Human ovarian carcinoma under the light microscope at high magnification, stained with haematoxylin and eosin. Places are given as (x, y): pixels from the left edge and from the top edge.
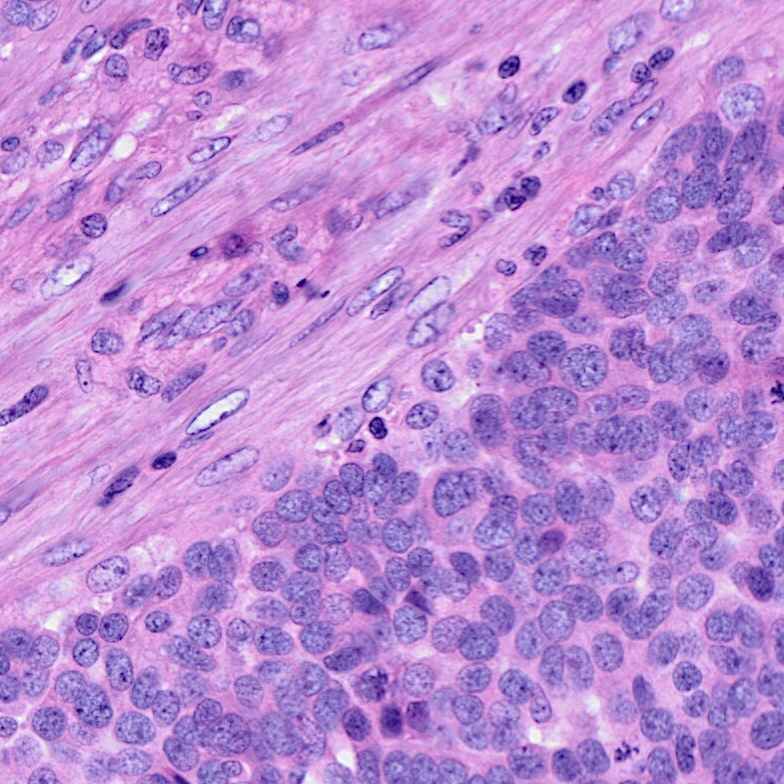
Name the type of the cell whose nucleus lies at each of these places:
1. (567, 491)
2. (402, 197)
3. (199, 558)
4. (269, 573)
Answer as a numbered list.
1. carcinoma cell
2. fibroblast
3. carcinoma cell
4. carcinoma cell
